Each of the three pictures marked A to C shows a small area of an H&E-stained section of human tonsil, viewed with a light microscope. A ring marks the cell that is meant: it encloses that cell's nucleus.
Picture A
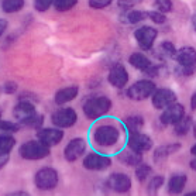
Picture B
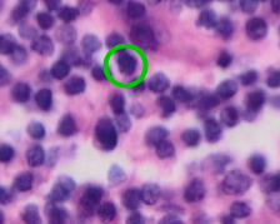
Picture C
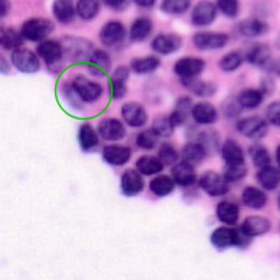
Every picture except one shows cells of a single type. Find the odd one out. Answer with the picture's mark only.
A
